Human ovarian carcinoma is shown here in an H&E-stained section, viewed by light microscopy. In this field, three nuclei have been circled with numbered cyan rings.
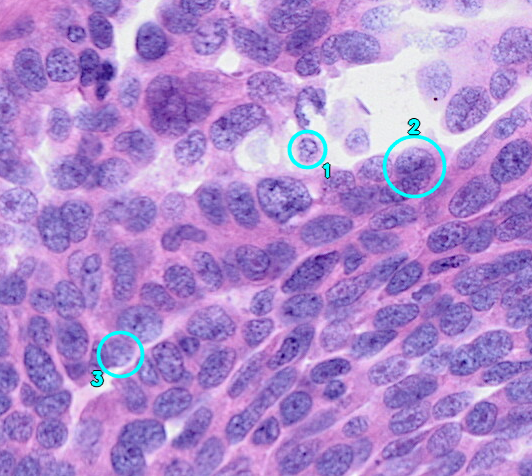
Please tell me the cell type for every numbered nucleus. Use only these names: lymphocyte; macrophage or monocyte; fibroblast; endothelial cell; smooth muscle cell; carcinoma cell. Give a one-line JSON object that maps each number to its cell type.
{"1": "macrophage or monocyte", "2": "carcinoma cell", "3": "carcinoma cell"}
